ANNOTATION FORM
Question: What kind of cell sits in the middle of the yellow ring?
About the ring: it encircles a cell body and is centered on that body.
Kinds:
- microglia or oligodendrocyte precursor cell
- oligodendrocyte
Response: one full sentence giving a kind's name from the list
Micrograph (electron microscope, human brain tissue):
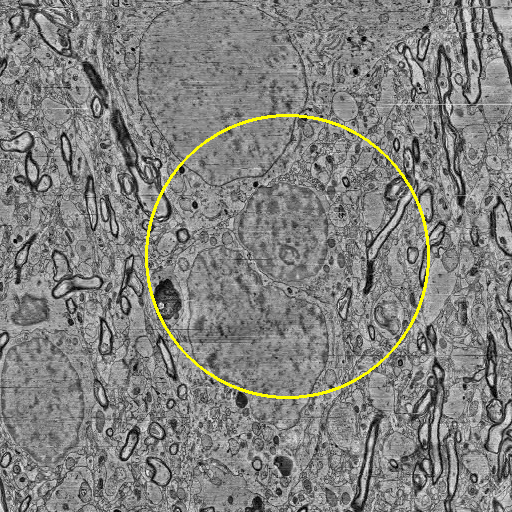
The kind of cell found at the center of the yellow ring in the micrograph is an oligodendrocyte.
